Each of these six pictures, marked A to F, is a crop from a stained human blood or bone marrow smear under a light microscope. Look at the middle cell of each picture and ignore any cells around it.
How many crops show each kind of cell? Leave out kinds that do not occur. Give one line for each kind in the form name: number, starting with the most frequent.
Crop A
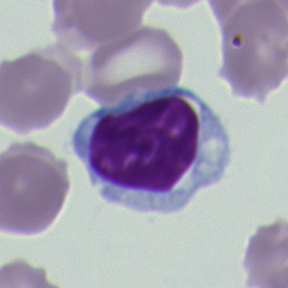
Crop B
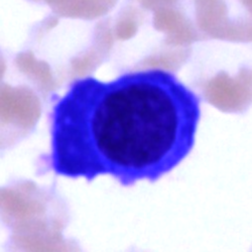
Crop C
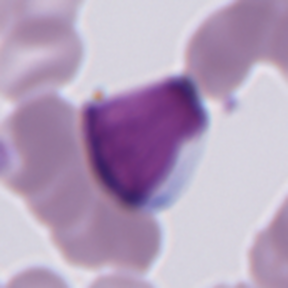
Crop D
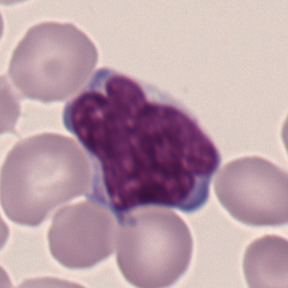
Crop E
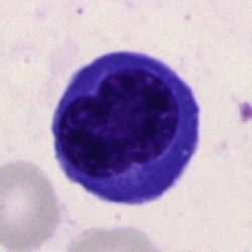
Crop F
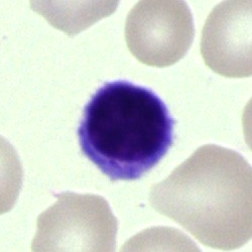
lymphocyte: 4
plasma cell: 2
